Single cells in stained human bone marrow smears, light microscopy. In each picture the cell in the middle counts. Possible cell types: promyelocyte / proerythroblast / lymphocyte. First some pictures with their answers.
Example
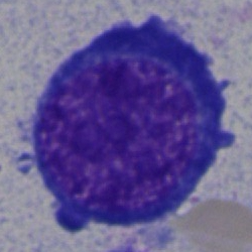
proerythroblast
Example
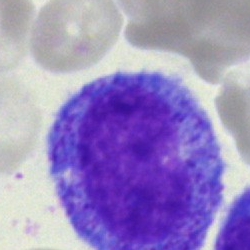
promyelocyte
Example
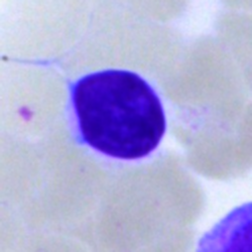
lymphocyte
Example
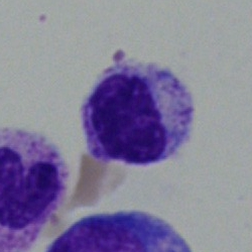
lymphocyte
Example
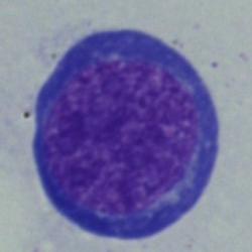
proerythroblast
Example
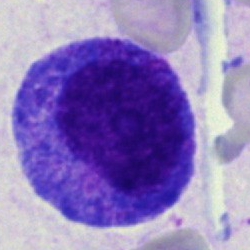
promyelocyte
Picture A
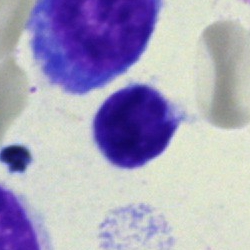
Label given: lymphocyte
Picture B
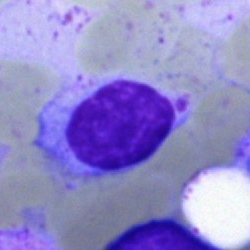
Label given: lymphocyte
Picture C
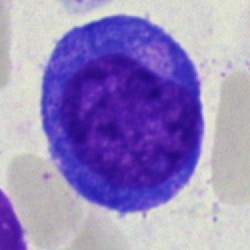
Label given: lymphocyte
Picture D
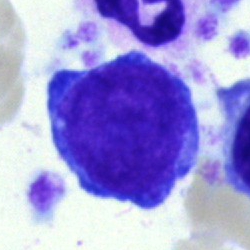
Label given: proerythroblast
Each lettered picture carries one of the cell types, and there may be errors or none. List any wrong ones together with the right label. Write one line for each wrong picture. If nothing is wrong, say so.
C: not lymphocyte but promyelocyte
